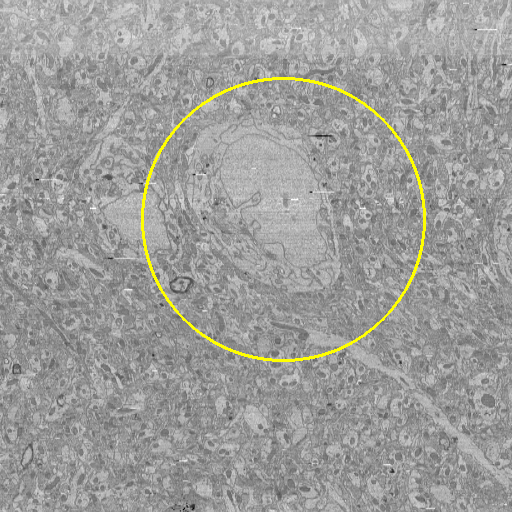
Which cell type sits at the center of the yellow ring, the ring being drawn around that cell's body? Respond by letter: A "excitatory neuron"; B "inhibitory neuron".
B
